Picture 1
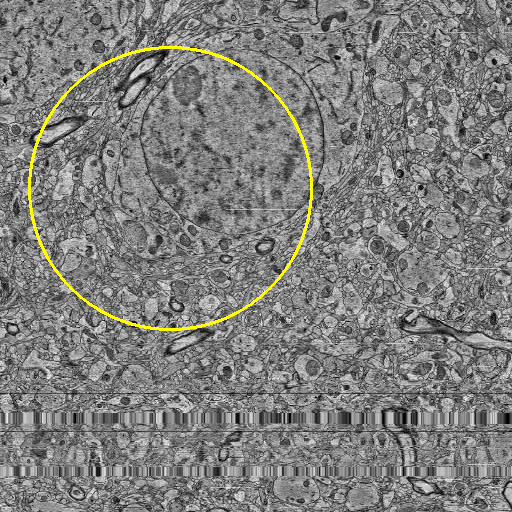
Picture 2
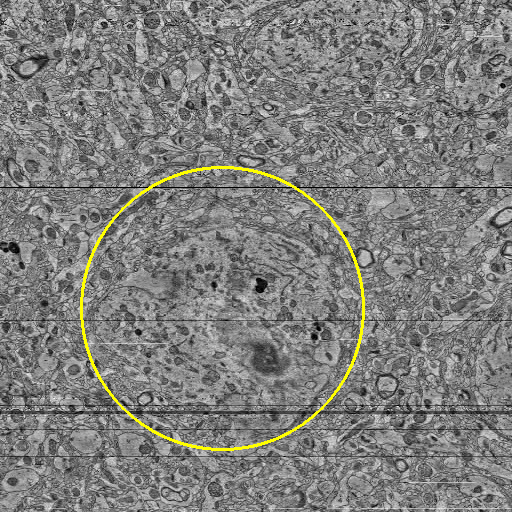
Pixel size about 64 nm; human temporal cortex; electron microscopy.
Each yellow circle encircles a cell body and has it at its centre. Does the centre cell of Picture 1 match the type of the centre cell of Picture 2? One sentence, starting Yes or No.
No, the cell centred in Picture 1 and the one in Picture 2 have separate types.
